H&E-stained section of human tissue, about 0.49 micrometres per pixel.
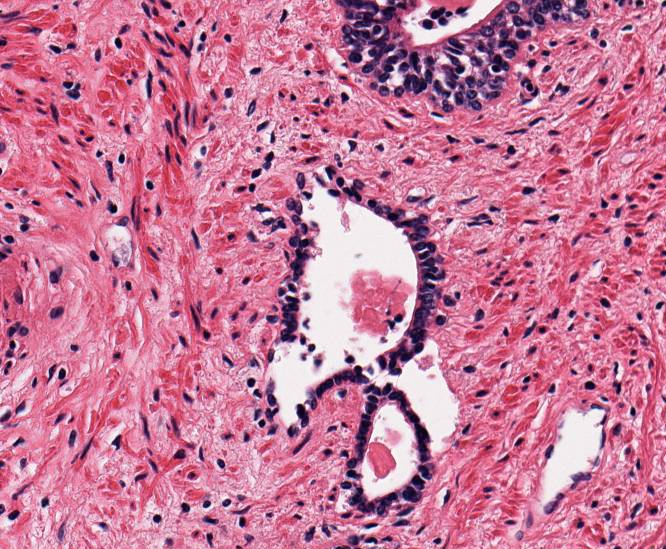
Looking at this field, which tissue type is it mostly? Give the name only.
fibromuscular stroma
